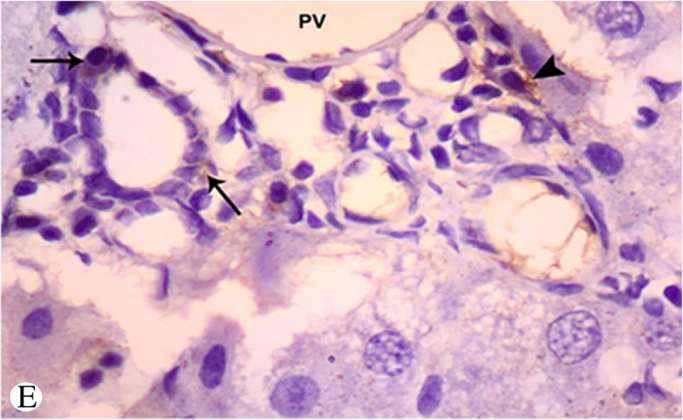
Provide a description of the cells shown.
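Liver tissue at a portal area shows many small ductules, each a round lumen lined by a single layer of small cells with dark oval nuclei, clustered beside a large vessel. Faint brown staining lies in the cytoplasm of some of these lining cells and in a few small cells at the edge of the portal area. Further away lie large hepatocytes with round pale nuclei and pale, vacuolated cytoplasm.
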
